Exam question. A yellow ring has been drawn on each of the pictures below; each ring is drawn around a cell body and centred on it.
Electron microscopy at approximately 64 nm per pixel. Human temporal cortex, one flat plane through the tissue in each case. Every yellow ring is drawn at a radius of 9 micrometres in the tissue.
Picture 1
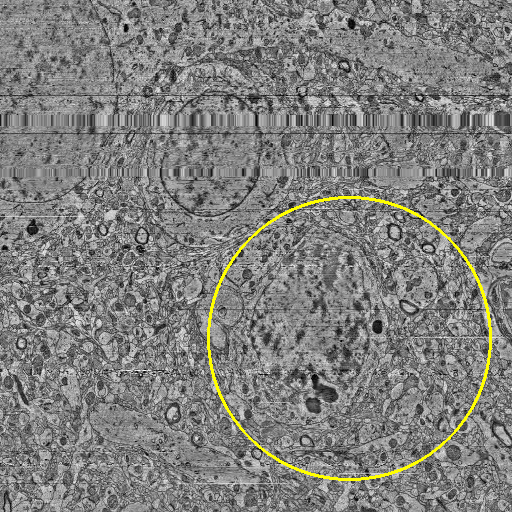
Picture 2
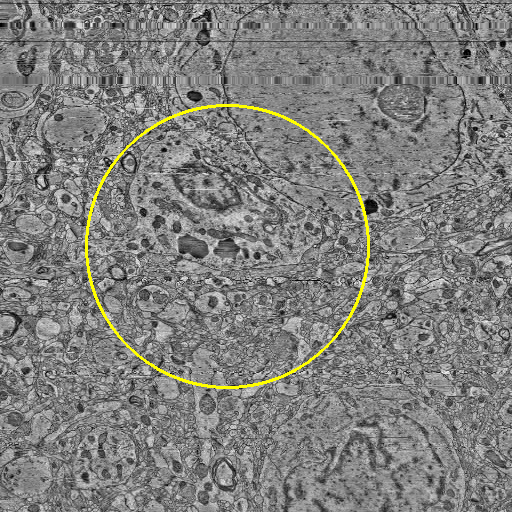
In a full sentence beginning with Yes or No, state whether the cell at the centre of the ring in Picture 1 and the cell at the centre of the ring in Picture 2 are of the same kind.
Yes, the two cells are of the same kind.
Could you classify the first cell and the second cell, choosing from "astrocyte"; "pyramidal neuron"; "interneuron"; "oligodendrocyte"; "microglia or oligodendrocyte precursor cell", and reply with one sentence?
Each cell, in the first picture and the second, is an interneuron.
